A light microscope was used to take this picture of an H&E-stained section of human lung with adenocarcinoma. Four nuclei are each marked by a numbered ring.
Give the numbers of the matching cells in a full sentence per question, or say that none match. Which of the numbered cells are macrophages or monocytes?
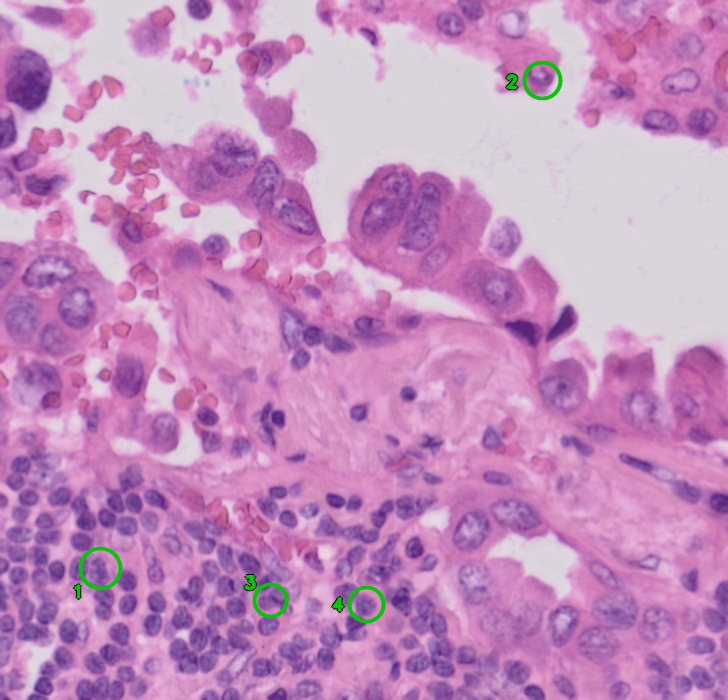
Only cell 2 qualifies as a macrophage or monocyte among the numbered cells.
